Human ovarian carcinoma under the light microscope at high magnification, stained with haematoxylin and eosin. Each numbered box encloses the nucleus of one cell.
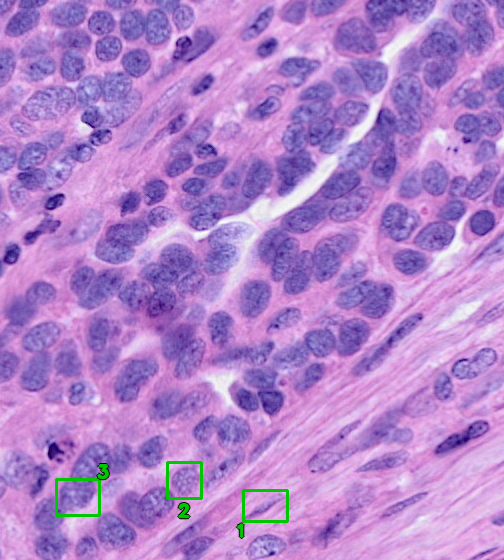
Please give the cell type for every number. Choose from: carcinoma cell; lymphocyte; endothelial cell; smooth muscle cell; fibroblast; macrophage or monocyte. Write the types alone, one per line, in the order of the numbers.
fibroblast
carcinoma cell
carcinoma cell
